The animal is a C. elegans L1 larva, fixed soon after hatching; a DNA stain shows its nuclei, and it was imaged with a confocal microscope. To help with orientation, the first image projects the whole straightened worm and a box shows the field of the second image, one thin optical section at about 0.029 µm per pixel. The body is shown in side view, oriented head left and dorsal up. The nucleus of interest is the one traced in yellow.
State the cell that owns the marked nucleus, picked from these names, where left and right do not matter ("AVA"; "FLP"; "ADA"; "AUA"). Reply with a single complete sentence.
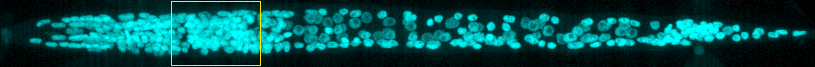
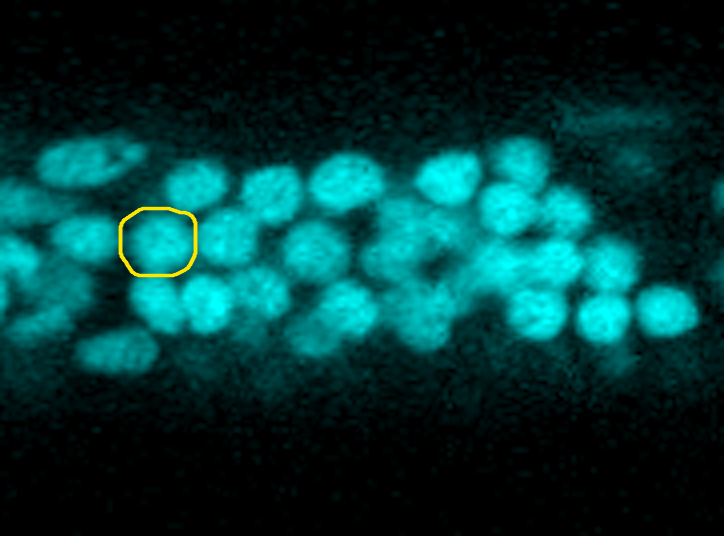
The nucleus is from AVA, a neuron.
